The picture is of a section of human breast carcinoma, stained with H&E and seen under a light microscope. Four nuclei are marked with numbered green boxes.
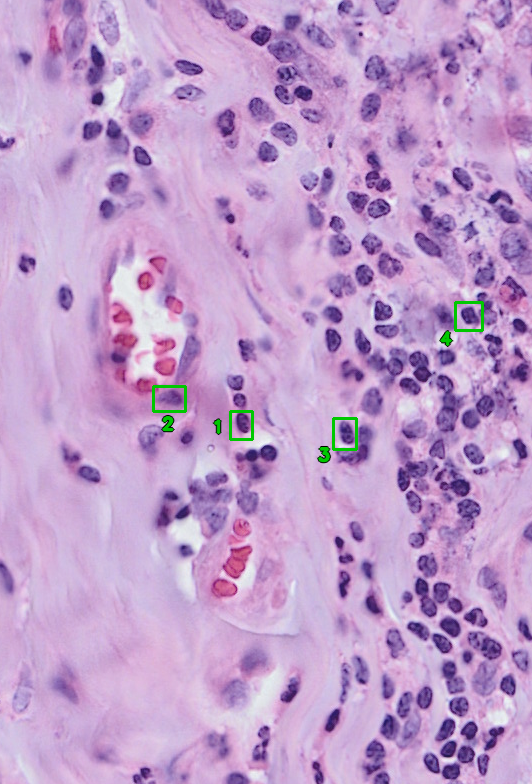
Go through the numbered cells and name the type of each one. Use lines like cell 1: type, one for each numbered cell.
cell 1: lymphocyte
cell 2: endothelial cell
cell 3: lymphocyte
cell 4: lymphocyte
